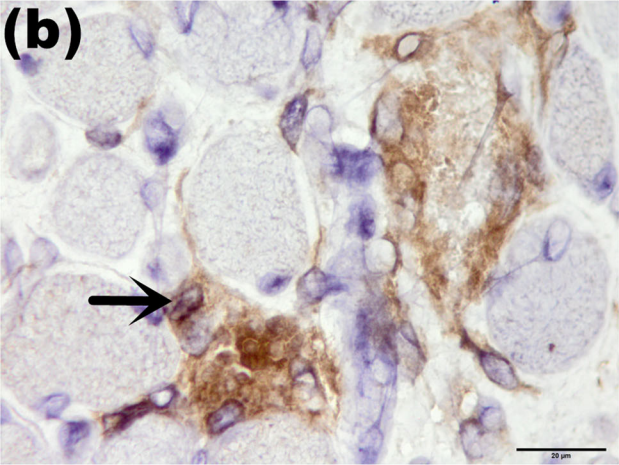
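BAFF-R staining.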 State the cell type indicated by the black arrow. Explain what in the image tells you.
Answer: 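Inflammatory cells. Brown-stained cells and material fill part of a muscle fiber.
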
